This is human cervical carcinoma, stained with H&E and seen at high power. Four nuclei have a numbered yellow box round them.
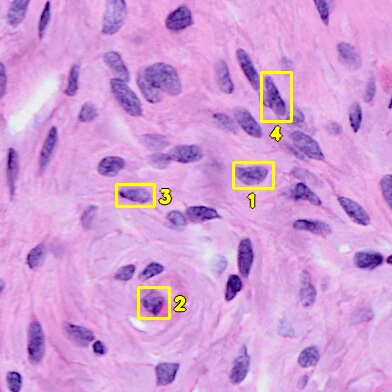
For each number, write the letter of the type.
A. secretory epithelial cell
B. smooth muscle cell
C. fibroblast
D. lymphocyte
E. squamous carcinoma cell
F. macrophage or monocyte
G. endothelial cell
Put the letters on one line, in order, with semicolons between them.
C; G; C; C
